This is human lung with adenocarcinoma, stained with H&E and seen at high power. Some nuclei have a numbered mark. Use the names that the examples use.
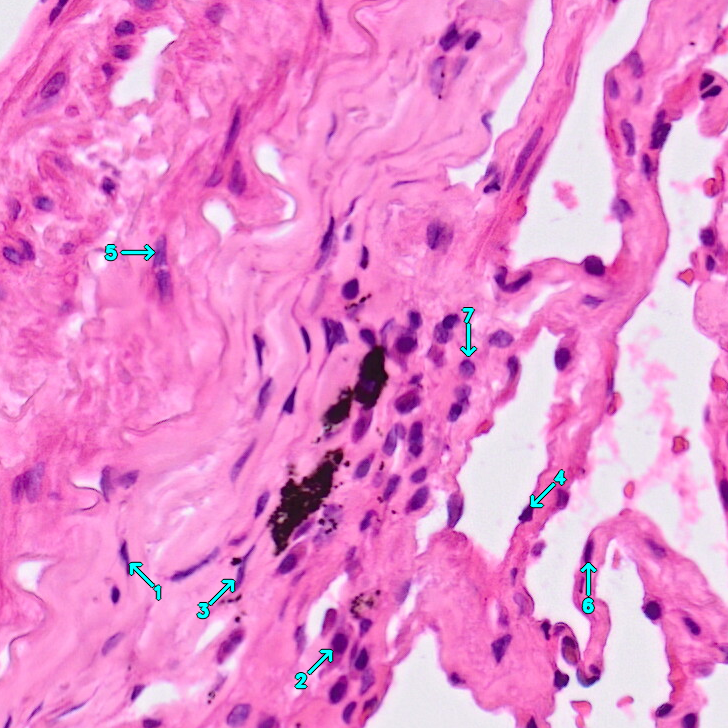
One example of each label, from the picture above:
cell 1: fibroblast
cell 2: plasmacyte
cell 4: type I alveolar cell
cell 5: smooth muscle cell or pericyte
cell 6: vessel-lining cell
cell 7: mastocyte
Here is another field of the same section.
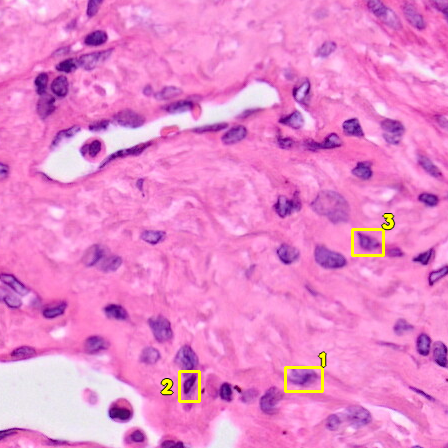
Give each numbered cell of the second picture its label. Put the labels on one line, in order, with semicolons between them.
fibroblast; plasmacyte; mastocyte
